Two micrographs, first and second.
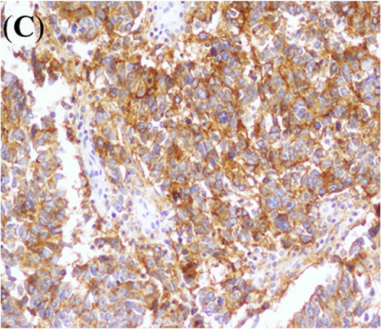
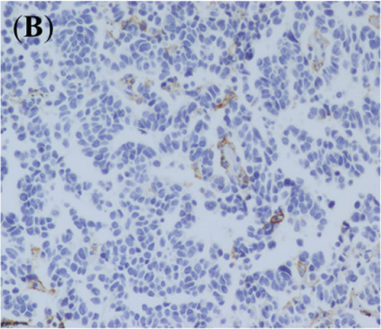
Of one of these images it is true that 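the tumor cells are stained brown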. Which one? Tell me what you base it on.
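The first image. First image: sheets of tumor cells carry strong brown stain along their borders and cytoplasm. Second image: the tumor cells show only blue nuclei, with brown limited to a few thin strands between them.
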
